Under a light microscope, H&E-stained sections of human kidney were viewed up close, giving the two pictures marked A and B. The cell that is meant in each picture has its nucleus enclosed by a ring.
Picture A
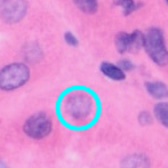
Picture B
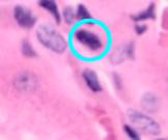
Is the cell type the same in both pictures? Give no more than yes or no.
no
